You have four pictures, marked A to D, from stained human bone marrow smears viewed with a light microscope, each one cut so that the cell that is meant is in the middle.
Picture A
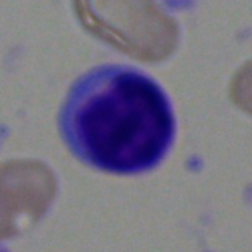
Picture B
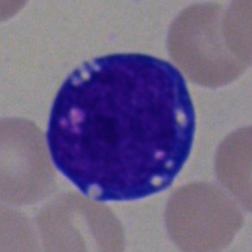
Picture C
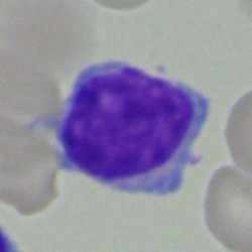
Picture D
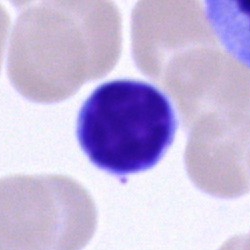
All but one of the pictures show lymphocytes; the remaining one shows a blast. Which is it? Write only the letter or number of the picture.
B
